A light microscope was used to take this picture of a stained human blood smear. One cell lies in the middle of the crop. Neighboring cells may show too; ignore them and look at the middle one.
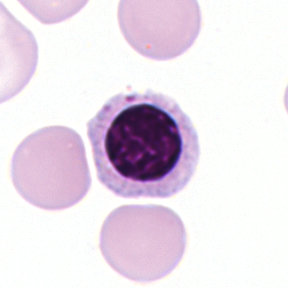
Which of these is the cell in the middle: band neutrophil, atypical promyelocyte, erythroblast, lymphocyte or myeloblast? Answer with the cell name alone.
erythroblast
